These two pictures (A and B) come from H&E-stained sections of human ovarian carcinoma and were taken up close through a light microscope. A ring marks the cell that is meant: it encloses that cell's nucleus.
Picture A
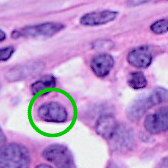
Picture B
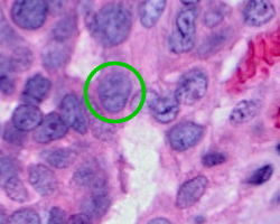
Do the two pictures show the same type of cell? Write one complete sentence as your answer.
No. Picture A shows a “macrophage or monocyte”, but picture B shows a carcinoma cell.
